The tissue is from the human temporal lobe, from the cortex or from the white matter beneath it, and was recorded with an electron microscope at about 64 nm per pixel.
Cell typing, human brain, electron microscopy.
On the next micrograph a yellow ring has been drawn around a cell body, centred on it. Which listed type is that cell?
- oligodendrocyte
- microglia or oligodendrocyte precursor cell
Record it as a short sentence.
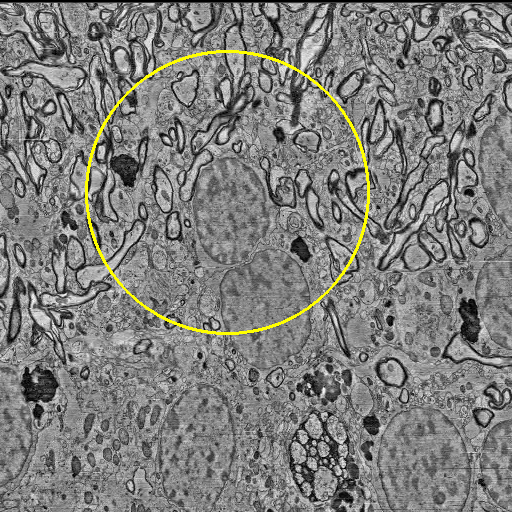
The cell body in the ring's centre belongs to an oligodendrocyte.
